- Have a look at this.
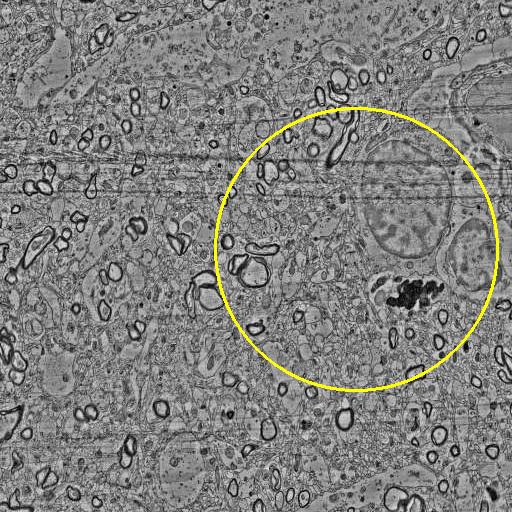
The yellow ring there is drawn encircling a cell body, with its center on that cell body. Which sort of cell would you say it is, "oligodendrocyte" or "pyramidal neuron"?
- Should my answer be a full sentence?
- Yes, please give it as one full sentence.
For this picture, an oligodendrocyte is the cell where the yellow ring has its center.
